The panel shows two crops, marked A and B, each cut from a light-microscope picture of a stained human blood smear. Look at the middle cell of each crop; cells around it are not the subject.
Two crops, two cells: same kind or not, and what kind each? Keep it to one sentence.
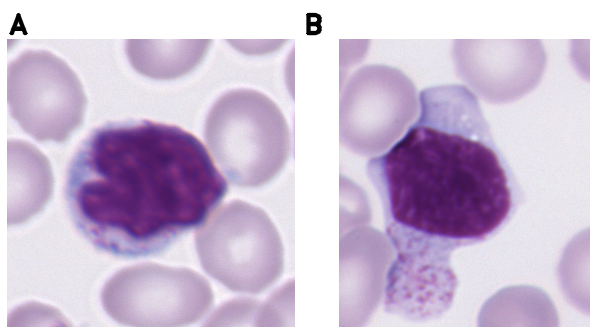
Yes, the crops both have large granular lymphocytes in the middle.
